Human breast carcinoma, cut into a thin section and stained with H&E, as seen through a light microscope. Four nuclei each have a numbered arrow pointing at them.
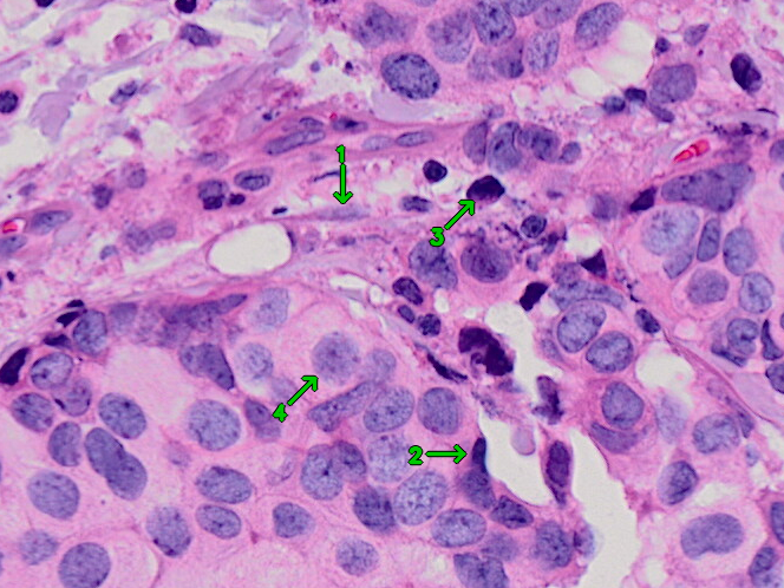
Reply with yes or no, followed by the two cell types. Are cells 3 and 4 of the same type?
Yes: cells 3 and 4 are both carcinoma cells.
